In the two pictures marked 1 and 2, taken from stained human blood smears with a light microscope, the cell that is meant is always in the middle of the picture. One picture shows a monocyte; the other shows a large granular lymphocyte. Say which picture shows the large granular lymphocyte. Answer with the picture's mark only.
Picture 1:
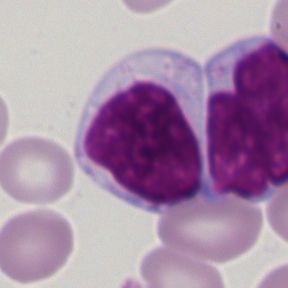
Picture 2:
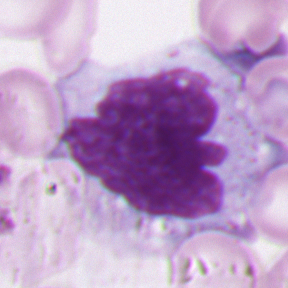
1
